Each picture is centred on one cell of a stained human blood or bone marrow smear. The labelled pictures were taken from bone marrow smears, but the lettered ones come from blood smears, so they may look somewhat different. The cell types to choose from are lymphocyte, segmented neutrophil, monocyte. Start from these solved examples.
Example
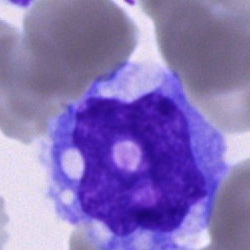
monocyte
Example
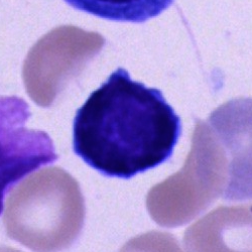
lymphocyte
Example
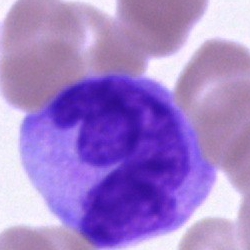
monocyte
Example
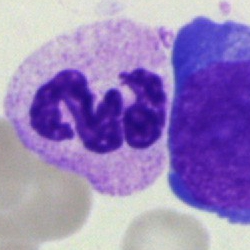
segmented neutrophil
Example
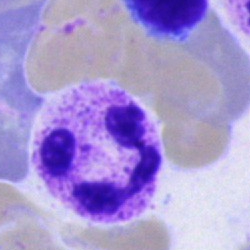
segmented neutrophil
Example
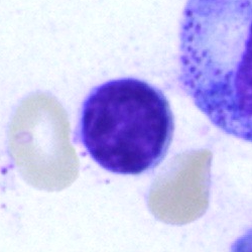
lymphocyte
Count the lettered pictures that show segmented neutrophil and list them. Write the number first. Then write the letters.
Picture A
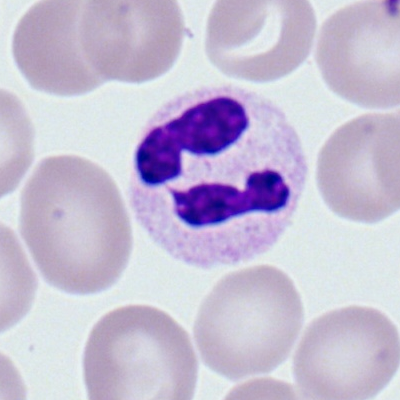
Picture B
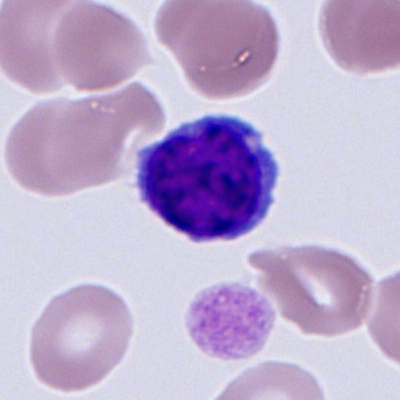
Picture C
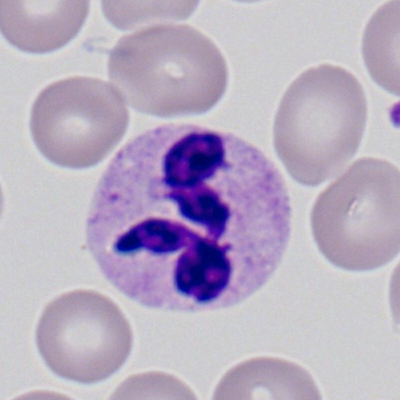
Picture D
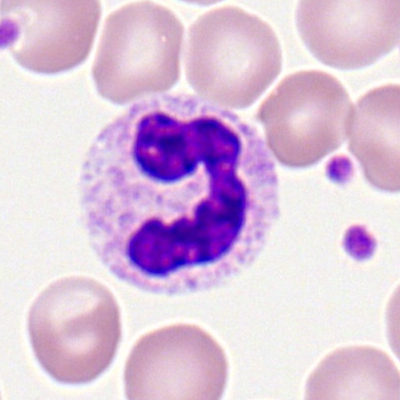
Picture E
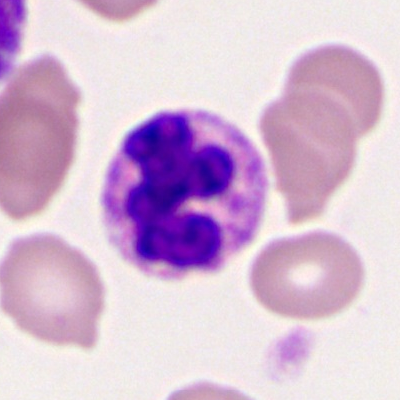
Count: 4 (A, C, D, E)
